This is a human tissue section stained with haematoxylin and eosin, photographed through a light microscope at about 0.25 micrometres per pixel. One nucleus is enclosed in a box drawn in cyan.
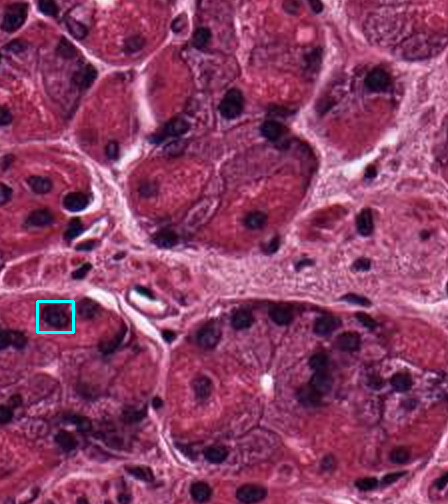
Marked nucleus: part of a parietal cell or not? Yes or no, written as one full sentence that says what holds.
Yes, the cell to which the marked nucleus belongs is a parietal cell.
